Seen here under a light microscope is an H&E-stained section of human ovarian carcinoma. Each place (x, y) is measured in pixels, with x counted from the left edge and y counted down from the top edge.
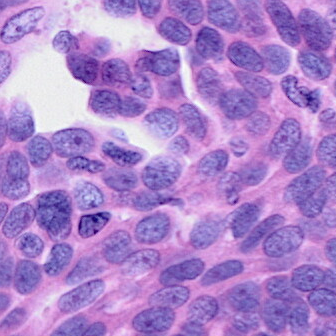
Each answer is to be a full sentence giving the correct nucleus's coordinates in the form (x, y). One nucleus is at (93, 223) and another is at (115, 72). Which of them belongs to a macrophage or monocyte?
Among the two nuclei, the one found at (93, 223) belongs to a macrophage or monocyte.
